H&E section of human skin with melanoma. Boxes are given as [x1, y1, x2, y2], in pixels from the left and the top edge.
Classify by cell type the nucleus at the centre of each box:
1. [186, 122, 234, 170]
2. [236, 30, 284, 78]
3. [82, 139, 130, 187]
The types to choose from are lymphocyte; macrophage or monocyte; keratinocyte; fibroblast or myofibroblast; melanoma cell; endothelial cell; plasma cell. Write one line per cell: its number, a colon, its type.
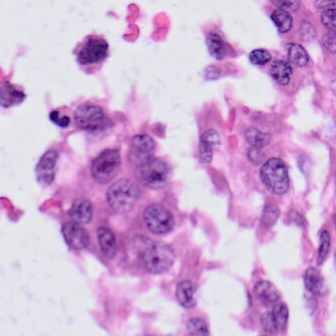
1: melanoma cell
2: lymphocyte
3: melanoma cell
